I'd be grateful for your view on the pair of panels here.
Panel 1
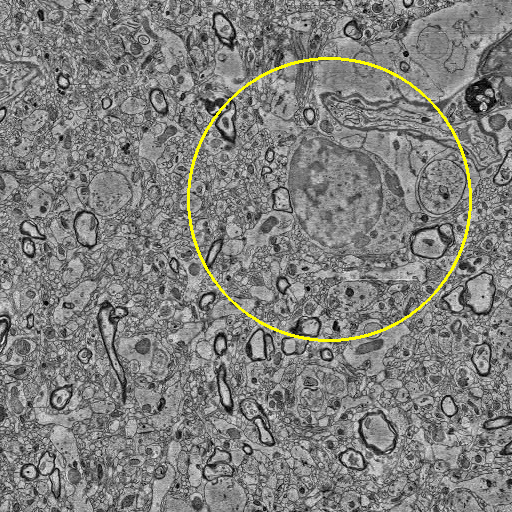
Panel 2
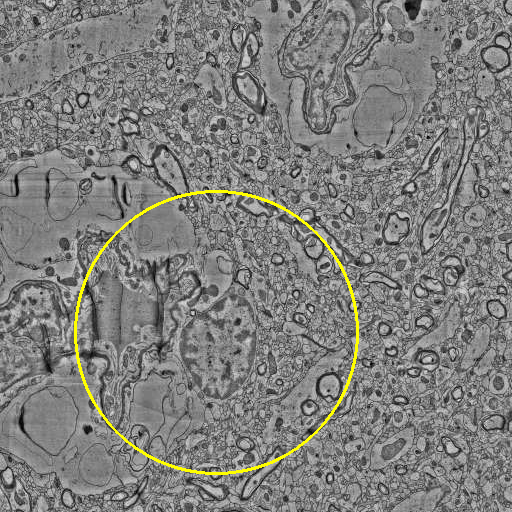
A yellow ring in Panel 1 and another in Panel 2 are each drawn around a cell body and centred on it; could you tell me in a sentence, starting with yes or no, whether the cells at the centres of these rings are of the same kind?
Yes, they are the same kind of cell.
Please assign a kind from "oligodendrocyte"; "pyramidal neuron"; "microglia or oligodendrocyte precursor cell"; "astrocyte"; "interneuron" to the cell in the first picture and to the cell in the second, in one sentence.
In the first picture and in the second, the ring is centred on an oligodendrocyte.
